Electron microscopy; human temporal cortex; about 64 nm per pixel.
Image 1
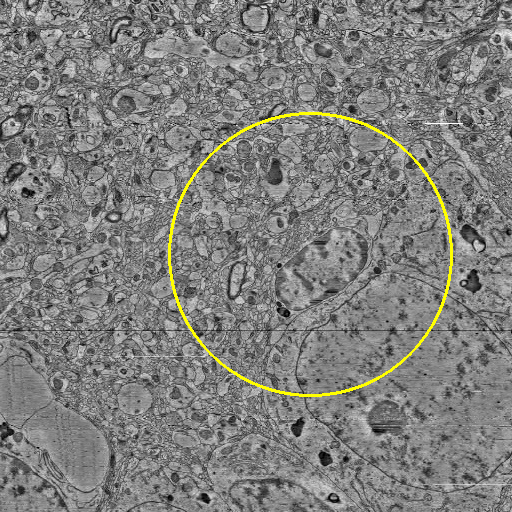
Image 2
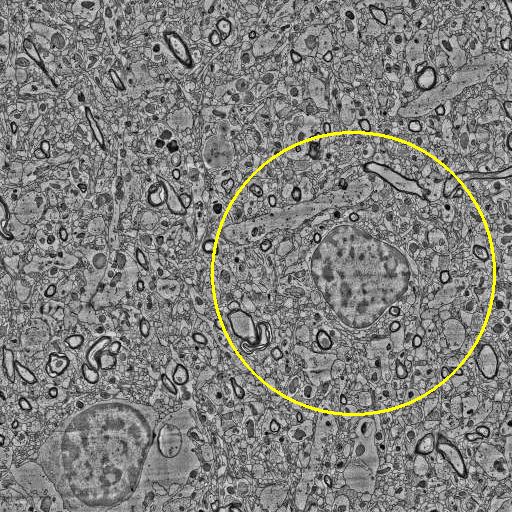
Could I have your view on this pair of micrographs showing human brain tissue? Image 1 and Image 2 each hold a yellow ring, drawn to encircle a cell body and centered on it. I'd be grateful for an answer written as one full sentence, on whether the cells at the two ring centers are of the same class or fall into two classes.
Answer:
The cells at the centers of the two rings are of the same class.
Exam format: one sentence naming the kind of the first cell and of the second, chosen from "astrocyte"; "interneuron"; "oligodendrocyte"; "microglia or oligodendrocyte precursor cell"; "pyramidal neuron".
Each cell, in the first picture and the second, is a microglial cell or oligodendrocyte precursor cell.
